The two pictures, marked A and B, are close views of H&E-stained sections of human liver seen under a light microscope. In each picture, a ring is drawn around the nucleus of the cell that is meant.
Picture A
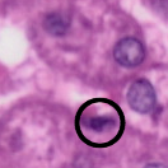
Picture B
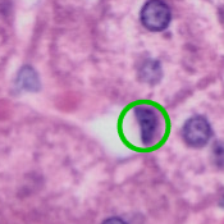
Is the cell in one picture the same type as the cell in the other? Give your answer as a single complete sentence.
Yes; the cells in both pictures are endothelial cells.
